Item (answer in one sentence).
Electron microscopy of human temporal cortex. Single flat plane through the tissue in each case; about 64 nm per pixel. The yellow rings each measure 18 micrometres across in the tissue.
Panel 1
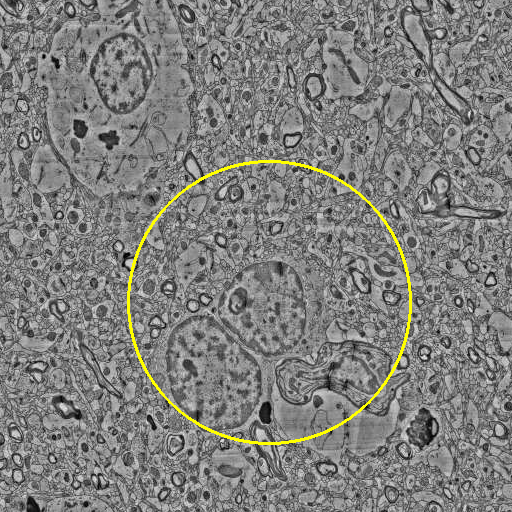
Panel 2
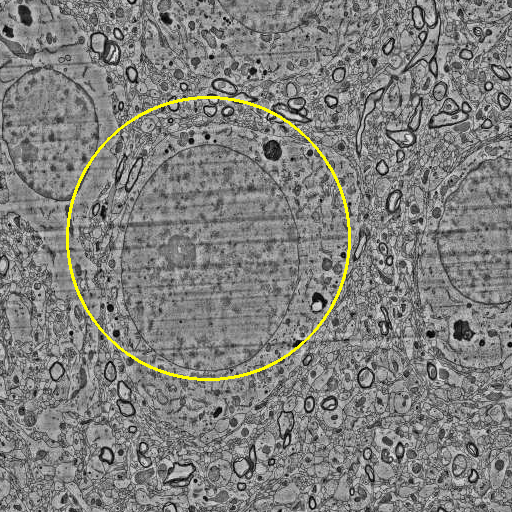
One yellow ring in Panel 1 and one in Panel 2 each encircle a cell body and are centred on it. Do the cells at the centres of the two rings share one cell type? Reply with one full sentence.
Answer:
No, Panel 1 and Panel 2 show cells of two types at the centres of their rings.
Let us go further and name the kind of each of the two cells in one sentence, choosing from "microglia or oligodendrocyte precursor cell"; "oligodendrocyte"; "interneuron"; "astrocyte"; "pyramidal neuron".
The ring of the first picture is on an oligodendrocyte, the ring of the second on a pyramidal neuron.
